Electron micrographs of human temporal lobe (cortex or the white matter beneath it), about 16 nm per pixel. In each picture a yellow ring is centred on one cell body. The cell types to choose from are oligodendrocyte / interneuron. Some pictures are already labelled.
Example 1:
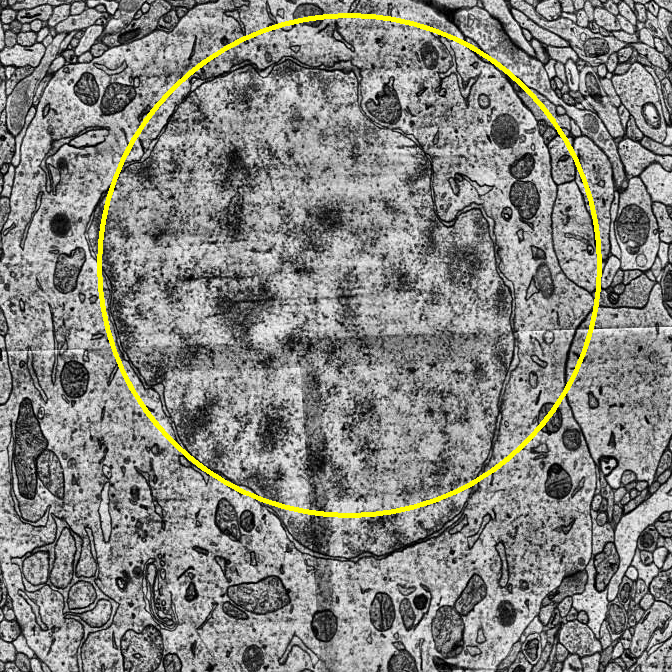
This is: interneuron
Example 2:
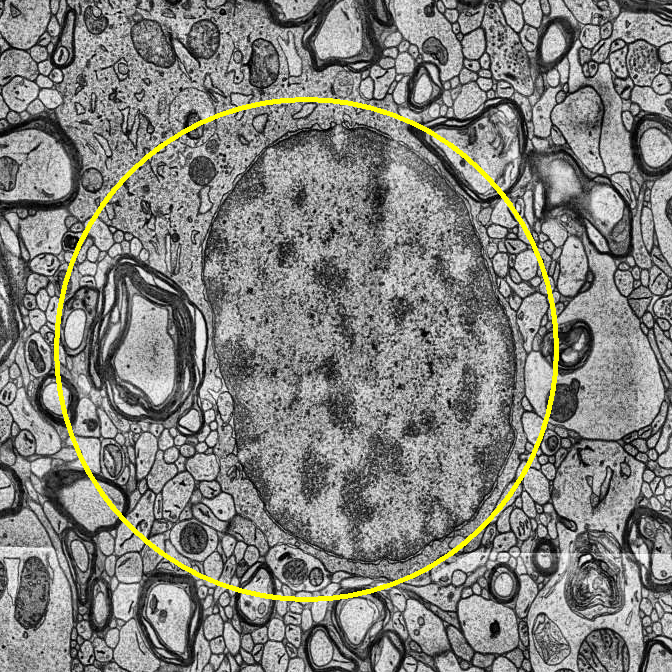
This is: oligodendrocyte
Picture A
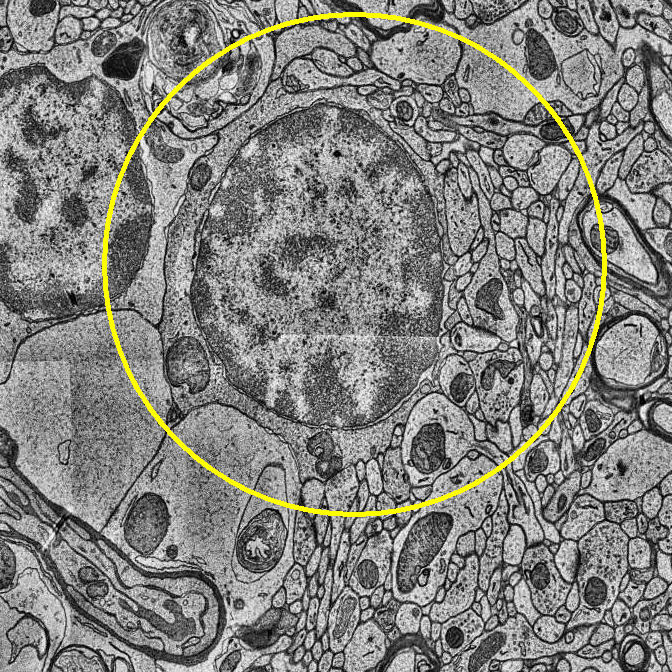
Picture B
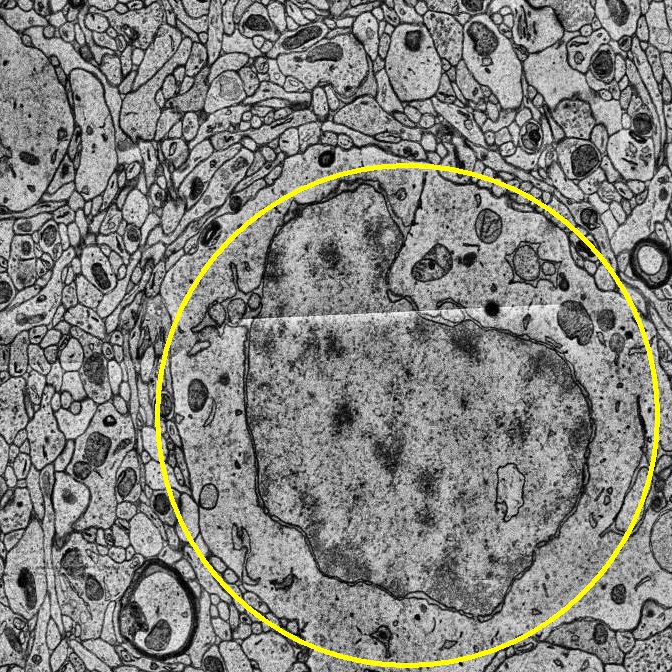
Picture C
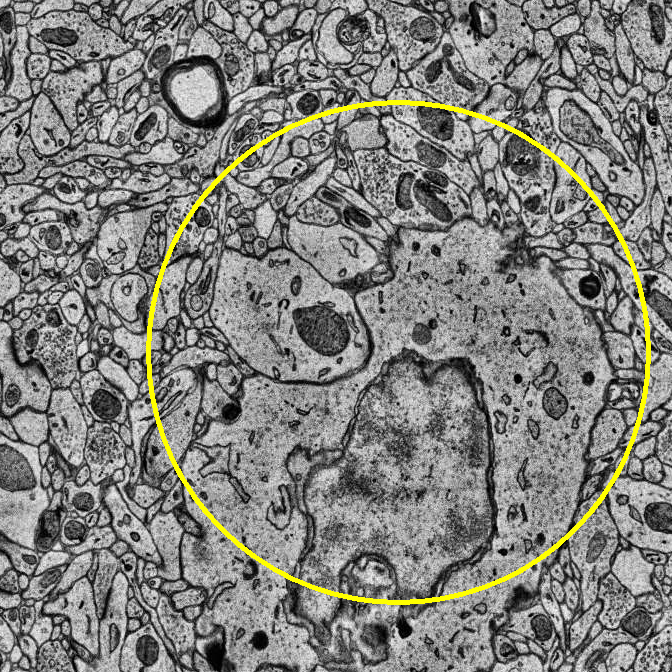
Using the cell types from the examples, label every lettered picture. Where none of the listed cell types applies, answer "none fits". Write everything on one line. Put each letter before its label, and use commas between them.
A oligodendrocyte, B interneuron, C interneuron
